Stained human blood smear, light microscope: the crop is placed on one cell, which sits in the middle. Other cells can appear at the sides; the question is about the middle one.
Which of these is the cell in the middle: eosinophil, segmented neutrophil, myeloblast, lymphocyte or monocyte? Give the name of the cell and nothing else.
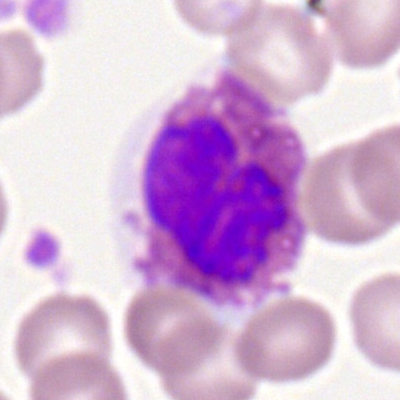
eosinophil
